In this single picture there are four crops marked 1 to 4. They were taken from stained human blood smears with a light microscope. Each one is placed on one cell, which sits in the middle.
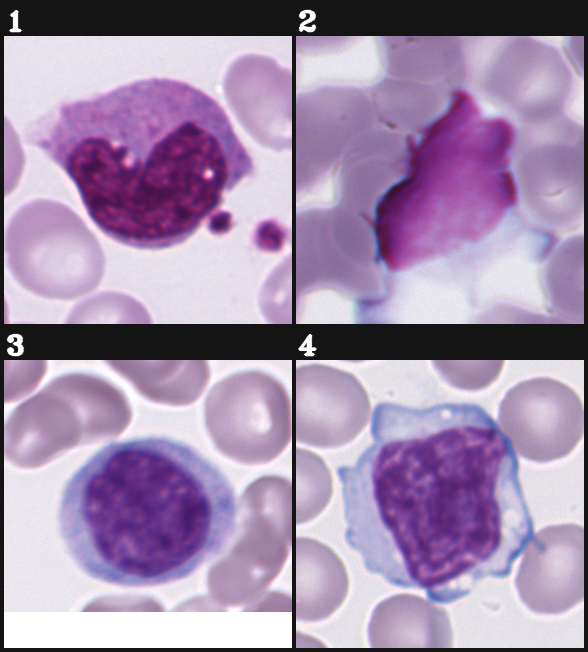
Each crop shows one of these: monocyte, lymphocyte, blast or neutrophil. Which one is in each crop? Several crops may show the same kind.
1: monocyte
2: lymphocyte
3: monocyte
4: blast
